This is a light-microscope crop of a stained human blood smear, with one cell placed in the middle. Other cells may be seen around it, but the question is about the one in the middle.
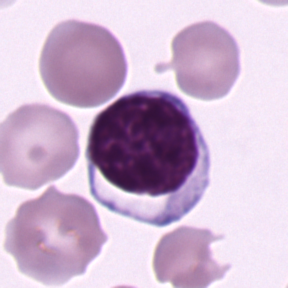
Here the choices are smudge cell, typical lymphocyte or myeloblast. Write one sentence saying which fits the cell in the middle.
Looking at the middle of the crop, the cell there is a typical lymphocyte.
